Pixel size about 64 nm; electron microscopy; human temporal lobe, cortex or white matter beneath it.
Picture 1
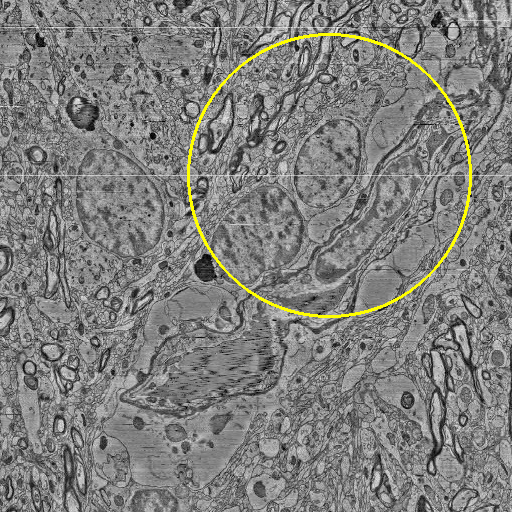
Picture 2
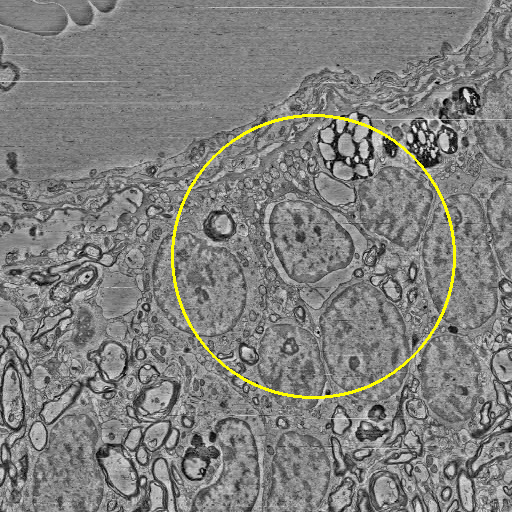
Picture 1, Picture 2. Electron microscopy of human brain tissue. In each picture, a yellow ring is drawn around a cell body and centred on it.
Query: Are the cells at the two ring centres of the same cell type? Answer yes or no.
yes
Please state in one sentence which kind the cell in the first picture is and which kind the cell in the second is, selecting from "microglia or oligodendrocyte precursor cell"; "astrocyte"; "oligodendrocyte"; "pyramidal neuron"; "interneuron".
Each of the ringed cells, first and second, is a microglial cell or oligodendrocyte precursor cell.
